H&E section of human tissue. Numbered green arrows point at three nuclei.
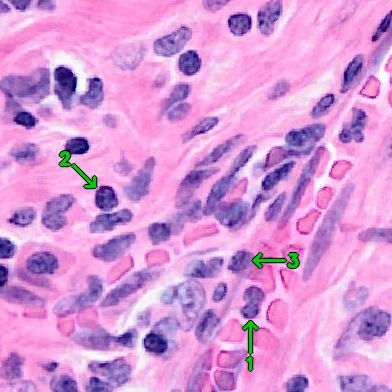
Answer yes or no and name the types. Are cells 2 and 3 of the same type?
No, cell number 2 is a lymphocyte and cell number 3 is an endothelial cell.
